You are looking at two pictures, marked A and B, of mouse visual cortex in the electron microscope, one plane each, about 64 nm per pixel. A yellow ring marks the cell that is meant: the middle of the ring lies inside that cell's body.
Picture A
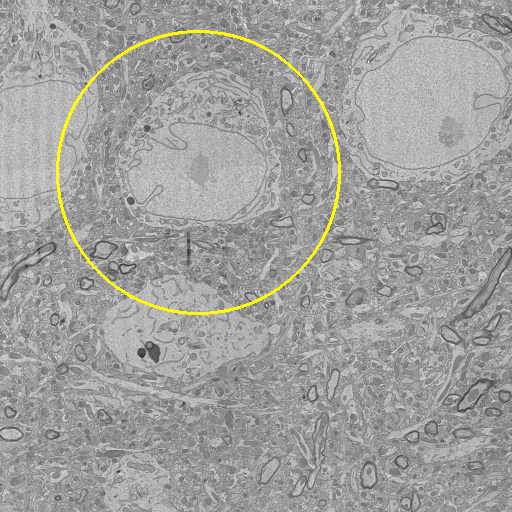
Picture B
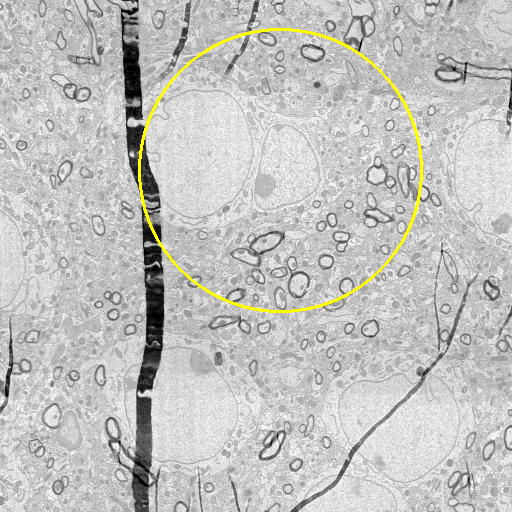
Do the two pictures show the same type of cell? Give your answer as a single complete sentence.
No. Picture A shows an inhibitory neuron, but picture B shows an oligodendrocyte precursor cell.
